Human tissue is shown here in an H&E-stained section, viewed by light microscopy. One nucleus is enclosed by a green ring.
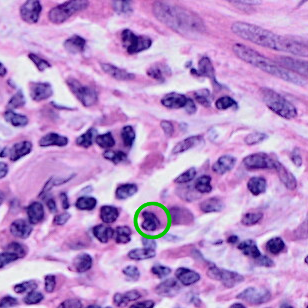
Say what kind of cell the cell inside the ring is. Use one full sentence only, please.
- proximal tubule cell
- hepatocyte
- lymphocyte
In this tissue sample, the cell inside the ring is a lymphocyte.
